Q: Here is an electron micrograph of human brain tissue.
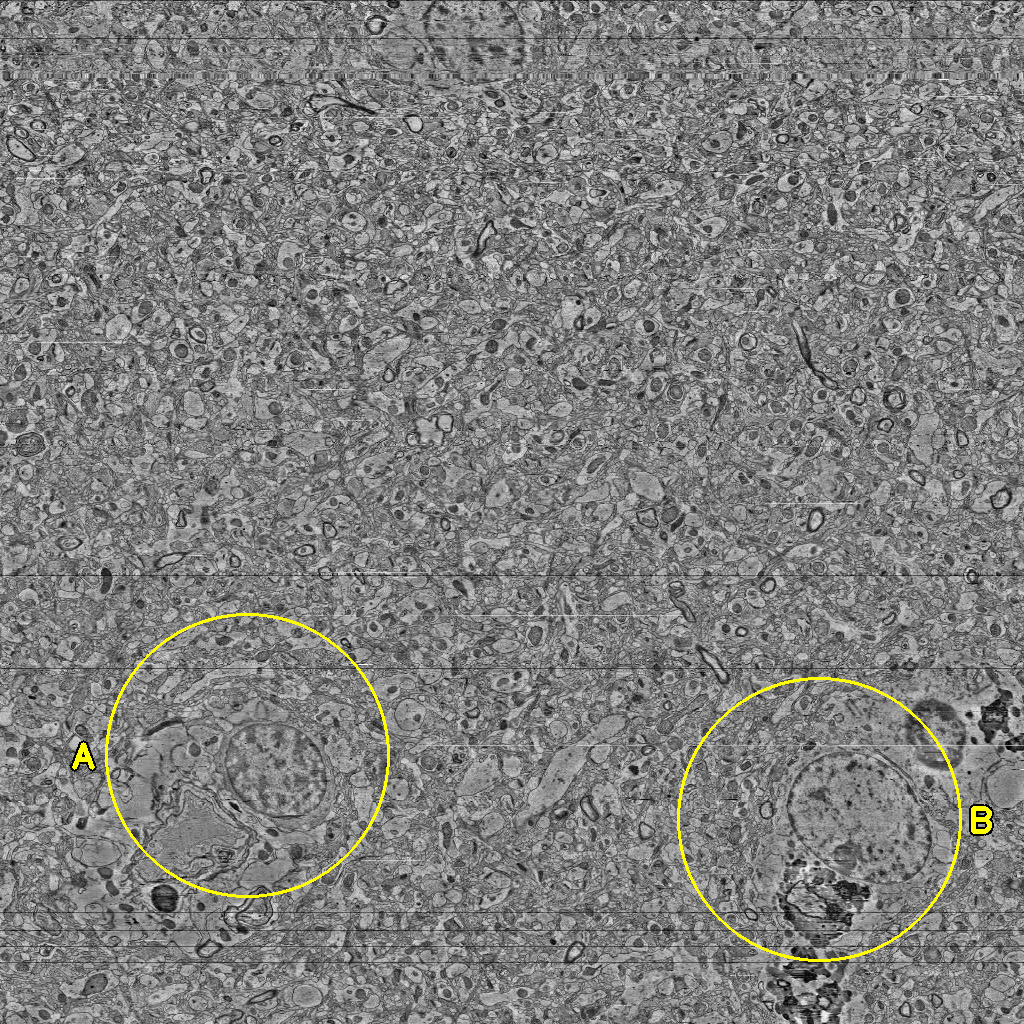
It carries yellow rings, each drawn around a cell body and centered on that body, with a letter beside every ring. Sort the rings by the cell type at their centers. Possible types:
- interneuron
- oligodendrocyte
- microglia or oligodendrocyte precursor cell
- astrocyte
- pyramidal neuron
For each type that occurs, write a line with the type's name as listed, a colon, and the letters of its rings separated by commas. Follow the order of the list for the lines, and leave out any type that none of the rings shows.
oligodendrocyte: A
astrocyte: B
